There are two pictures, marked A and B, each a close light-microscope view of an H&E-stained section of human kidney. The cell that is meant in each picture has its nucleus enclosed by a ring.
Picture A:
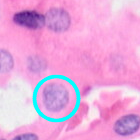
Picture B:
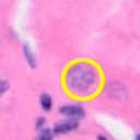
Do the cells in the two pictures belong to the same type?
no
